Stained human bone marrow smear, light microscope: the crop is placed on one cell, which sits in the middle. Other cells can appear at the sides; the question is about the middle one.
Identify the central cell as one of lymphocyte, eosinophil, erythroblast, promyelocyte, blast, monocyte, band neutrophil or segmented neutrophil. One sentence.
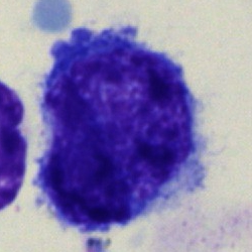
The cell of interest, in the center, is a blast.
